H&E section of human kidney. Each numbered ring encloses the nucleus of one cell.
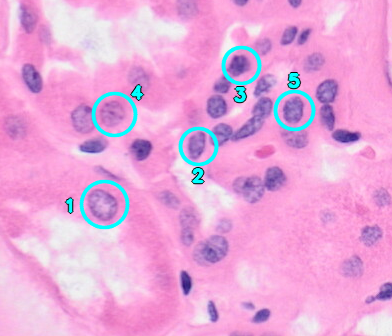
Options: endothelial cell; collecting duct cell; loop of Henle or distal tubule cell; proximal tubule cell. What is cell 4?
proximal tubule cell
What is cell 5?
collecting duct cell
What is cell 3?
collecting duct cell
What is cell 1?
proximal tubule cell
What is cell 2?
collecting duct cell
